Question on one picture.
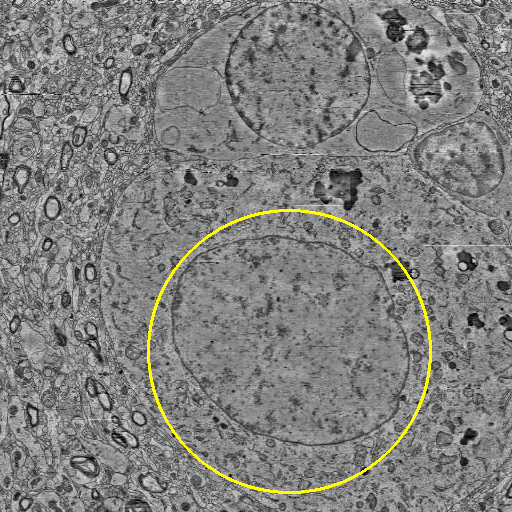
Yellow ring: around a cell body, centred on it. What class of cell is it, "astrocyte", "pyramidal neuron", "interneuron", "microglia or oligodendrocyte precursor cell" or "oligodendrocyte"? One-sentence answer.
This is a pyramidal neuron, the cell the ring is centred on.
